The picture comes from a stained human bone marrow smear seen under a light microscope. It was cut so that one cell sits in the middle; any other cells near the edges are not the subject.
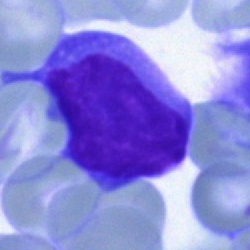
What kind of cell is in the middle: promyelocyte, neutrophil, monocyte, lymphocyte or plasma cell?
lymphocyte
